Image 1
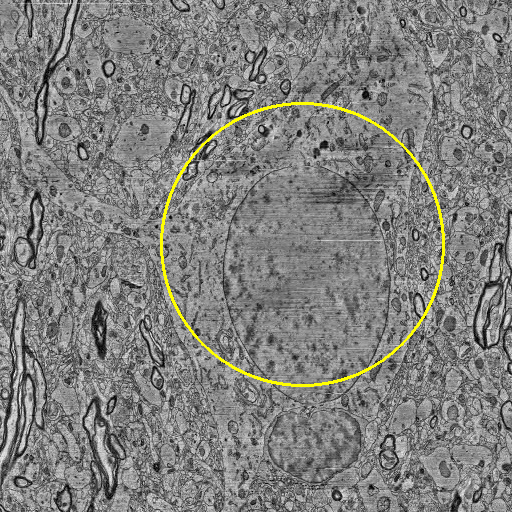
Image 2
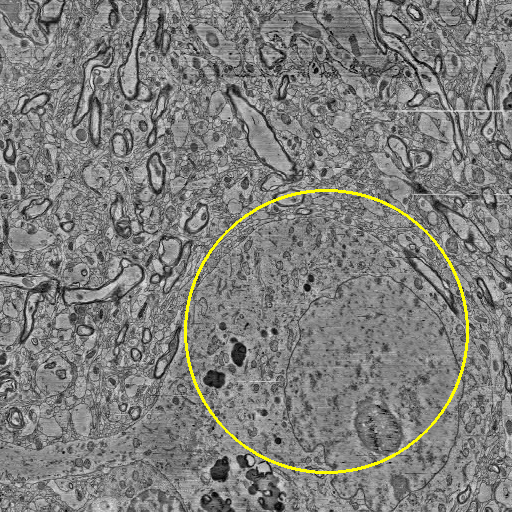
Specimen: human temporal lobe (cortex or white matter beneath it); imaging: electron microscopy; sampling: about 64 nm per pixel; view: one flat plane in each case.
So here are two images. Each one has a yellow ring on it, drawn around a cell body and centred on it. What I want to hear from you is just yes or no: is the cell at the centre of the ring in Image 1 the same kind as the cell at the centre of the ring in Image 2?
yes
